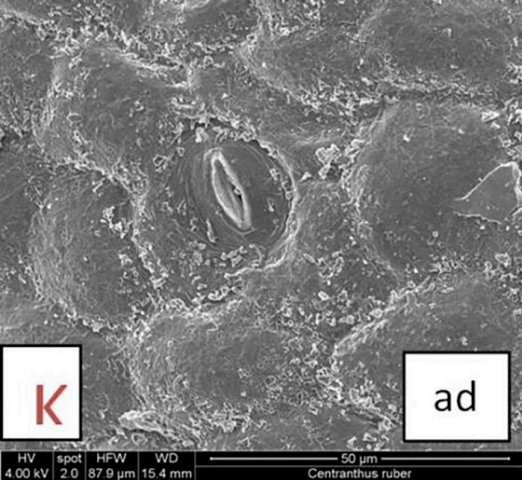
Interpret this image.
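This is a leaf surface seen by scanning electron microscopy, showing epidermal cells with a single stoma at the centre. The epidermal cells are large and convex, each bulging outward like a low dome, with sunken boundaries between them. The stoma is an elliptical pair of guard cells around a narrow slit-like pore, set slightly into the surrounding surface. Small granular and flaky wax deposits are scattered over the cells and lie thickest along the cell borders.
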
